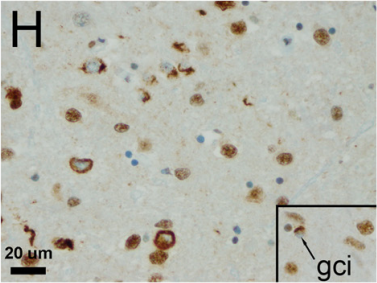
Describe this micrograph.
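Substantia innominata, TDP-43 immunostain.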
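Medium-sized neurons of the basal forebrain are scattered, most with round nuclei stained evenly brown. Several cells carry dense dark brown cytoplasmic inclusions forming rings or crescents around the nucleus, and short brown thread-like profiles lie in the neuropil at the lower left. Small round blue glial nuclei lie between them, and the inset shows a much smaller cell with a brown cytoplasmic inclusion.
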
